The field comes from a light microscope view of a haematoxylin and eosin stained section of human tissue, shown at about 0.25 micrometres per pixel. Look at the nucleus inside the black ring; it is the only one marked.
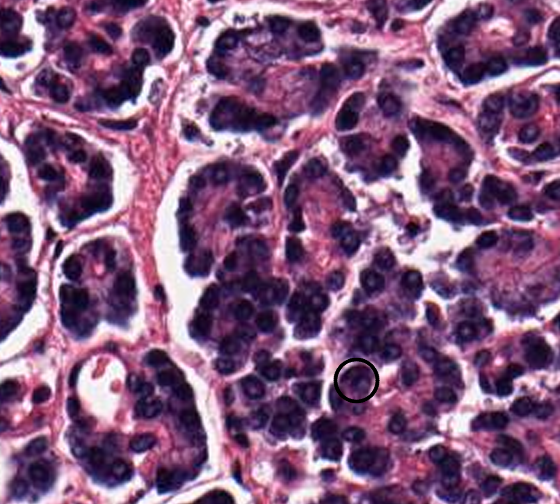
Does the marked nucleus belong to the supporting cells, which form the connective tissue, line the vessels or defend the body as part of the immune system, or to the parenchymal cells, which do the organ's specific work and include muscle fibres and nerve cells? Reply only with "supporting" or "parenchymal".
parenchymal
